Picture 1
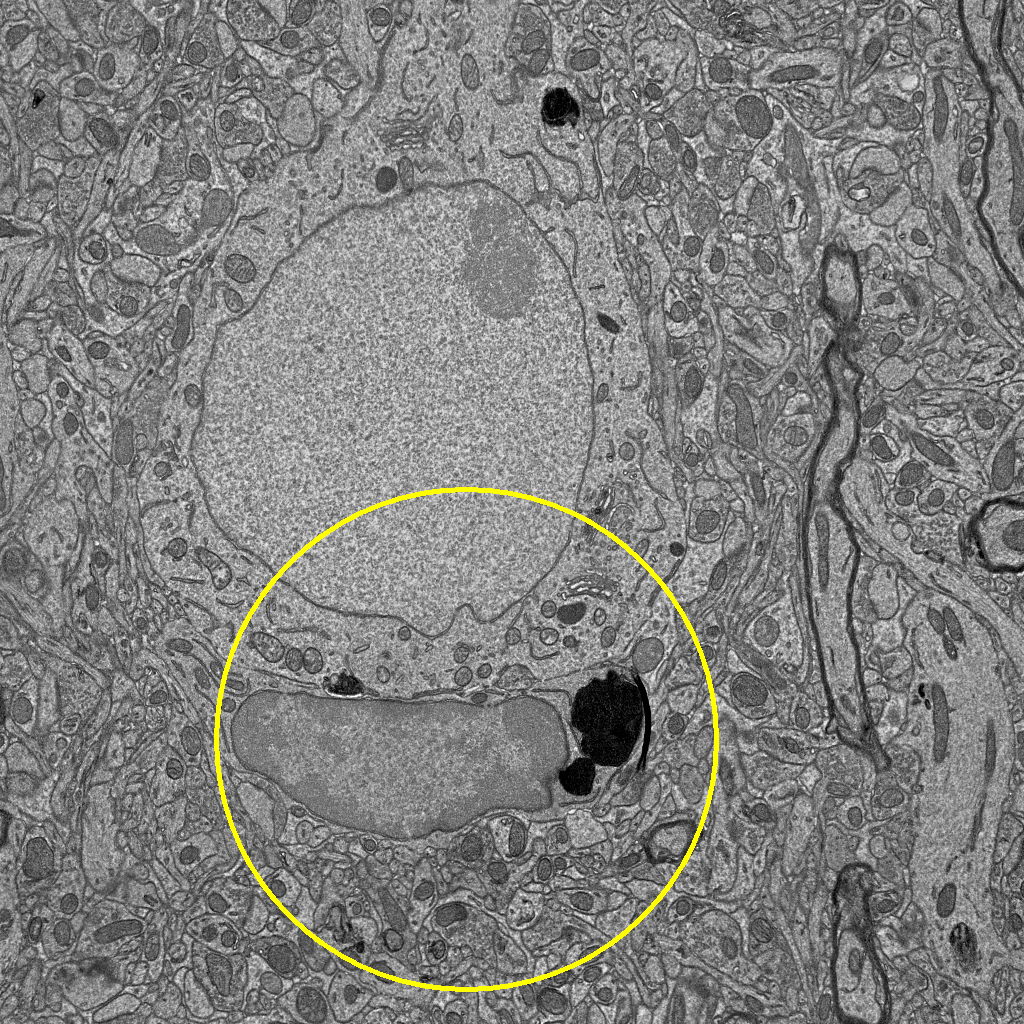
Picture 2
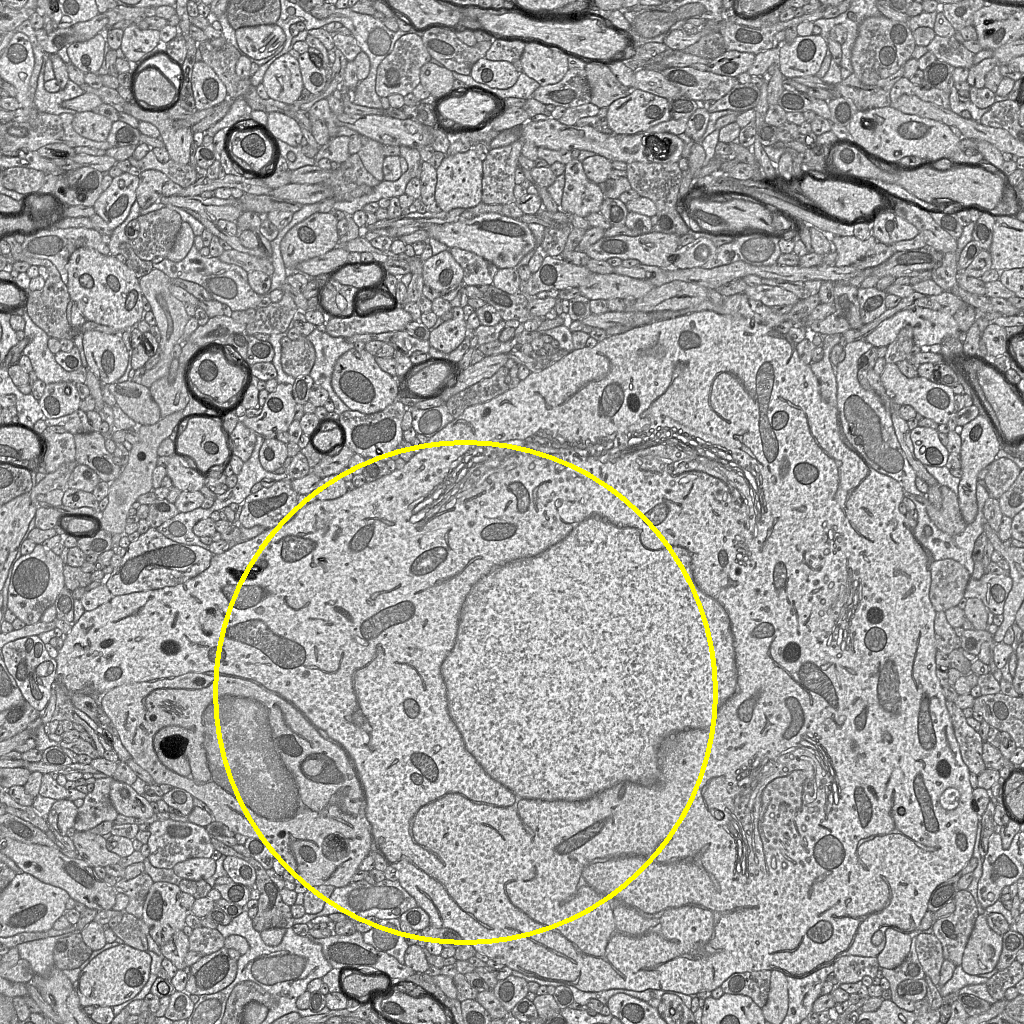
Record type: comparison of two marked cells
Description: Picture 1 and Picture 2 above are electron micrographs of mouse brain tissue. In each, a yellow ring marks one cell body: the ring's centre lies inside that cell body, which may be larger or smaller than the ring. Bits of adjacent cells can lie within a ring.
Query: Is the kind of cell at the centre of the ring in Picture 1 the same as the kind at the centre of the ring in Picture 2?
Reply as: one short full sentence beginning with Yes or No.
Yes, the two cells at the ring centres are of the same kind.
